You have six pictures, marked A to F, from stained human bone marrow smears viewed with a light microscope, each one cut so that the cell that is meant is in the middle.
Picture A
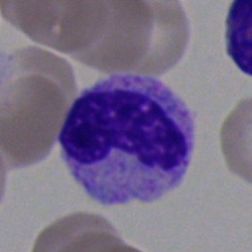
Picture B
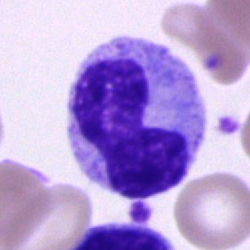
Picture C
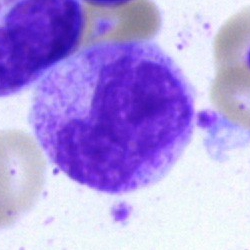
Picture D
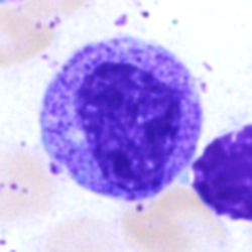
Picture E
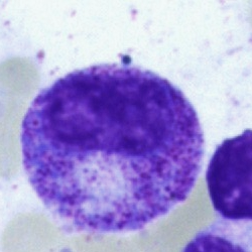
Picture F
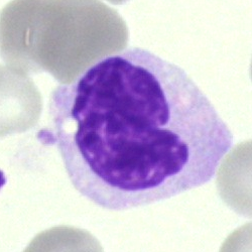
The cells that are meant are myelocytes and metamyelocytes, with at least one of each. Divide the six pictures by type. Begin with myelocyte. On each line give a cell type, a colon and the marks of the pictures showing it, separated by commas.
myelocyte: D, E
metamyelocyte: A, B, C, F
